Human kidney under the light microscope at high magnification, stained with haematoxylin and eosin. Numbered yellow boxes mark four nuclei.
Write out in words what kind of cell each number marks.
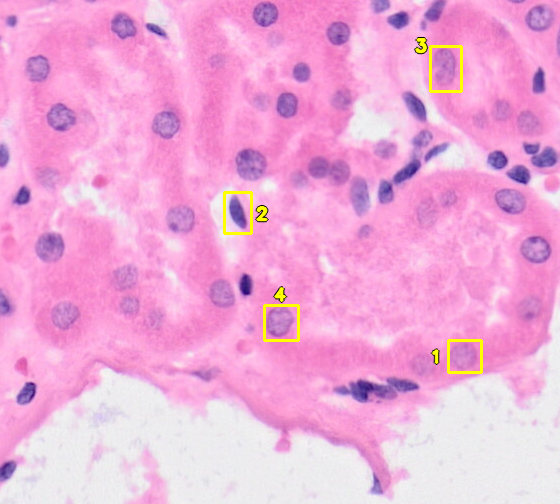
Cell 1 is a proximal tubule cell, cell 2 is an endothelial cell, cell 3 is a proximal tubule cell and cell 4 is a proximal tubule cell.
